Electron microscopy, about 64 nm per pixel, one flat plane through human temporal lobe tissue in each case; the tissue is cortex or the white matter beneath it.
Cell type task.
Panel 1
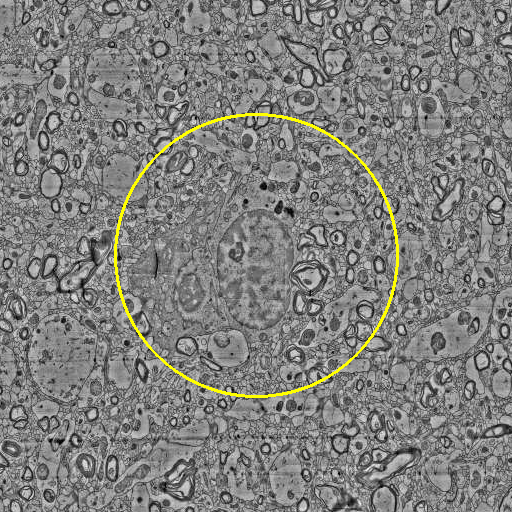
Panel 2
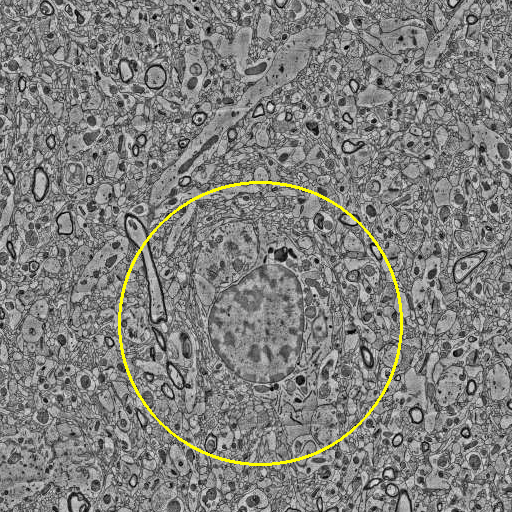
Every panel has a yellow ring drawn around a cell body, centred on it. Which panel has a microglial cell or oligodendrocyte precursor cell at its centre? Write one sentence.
It sits at the centre of the ring in Panel 2.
